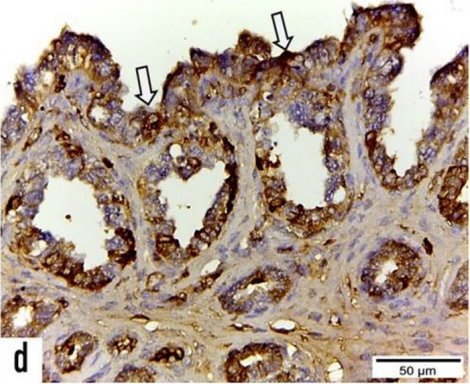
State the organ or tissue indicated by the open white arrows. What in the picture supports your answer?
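Arrows point at the columnar cell layer at the mucosal surface. Below lies cellular connective tissue with glands.
Hence: endometrial epithelium.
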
